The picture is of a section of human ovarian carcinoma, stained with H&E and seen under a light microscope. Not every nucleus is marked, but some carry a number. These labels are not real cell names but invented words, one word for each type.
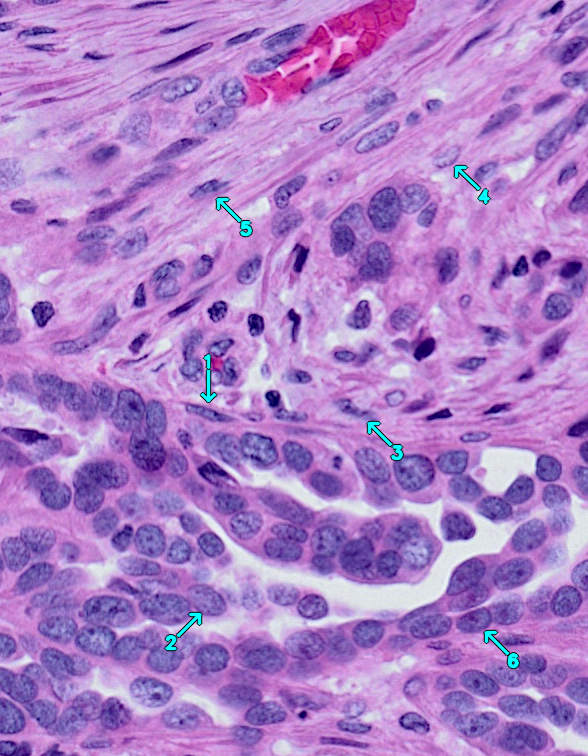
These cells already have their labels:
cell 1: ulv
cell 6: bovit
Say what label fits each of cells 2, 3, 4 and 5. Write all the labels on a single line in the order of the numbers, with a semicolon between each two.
bovit; ulv; ulv; ulv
